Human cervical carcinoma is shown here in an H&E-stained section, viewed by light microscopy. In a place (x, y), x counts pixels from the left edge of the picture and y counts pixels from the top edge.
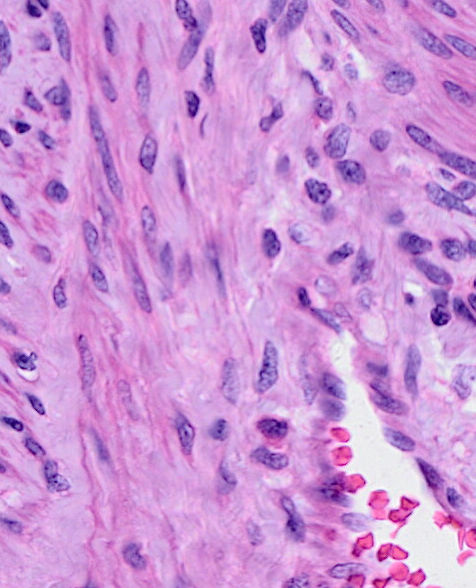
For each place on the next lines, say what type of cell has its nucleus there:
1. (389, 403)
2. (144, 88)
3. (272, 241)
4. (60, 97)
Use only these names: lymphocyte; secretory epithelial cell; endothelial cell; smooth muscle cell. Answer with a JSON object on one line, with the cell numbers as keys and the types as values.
{"1": "endothelial cell", "2": "smooth muscle cell", "3": "lymphocyte", "4": "smooth muscle cell"}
